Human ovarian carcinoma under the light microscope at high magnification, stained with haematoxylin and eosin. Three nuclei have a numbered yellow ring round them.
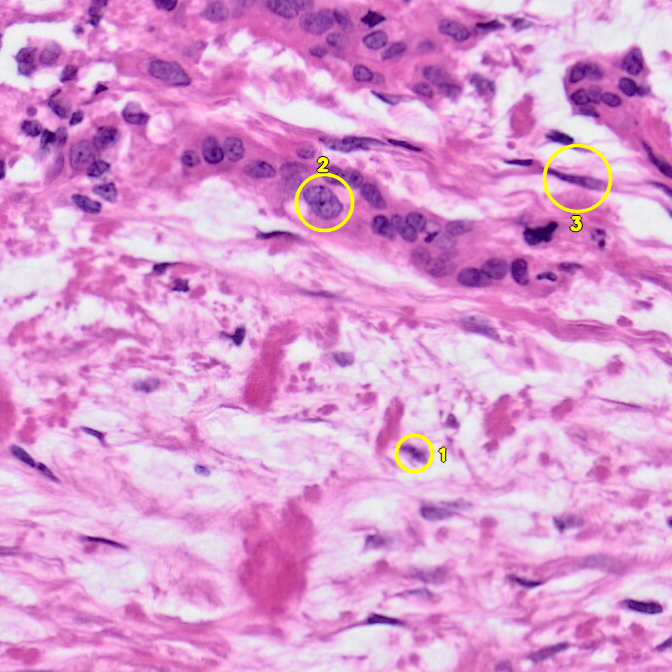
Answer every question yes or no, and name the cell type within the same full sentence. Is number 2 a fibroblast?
No, it is a carcinoma cell, not a fibroblast, at number 2.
